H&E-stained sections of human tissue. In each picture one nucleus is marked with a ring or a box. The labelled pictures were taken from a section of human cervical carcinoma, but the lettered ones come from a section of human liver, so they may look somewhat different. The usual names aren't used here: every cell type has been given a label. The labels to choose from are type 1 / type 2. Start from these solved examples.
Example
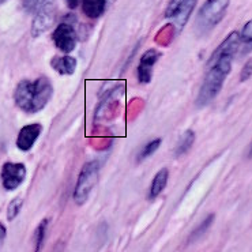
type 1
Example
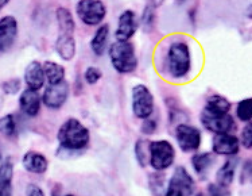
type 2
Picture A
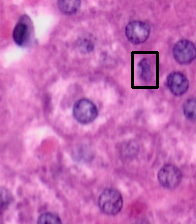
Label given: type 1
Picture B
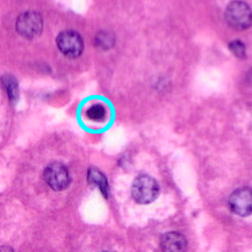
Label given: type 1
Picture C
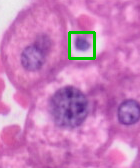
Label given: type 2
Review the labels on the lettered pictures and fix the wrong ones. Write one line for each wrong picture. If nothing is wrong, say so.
B: change type 1 to type 2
